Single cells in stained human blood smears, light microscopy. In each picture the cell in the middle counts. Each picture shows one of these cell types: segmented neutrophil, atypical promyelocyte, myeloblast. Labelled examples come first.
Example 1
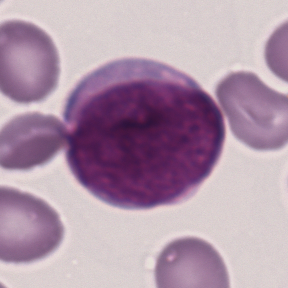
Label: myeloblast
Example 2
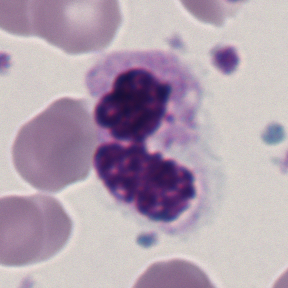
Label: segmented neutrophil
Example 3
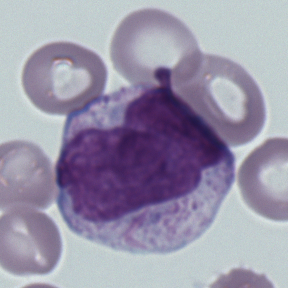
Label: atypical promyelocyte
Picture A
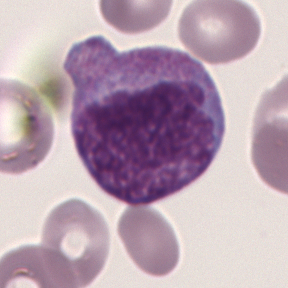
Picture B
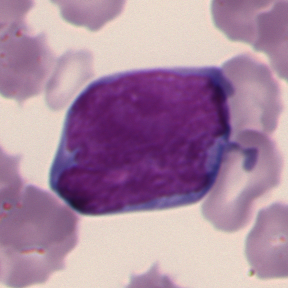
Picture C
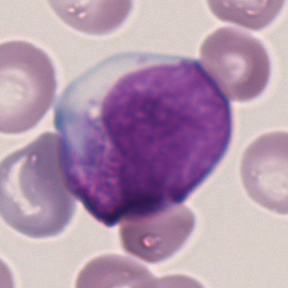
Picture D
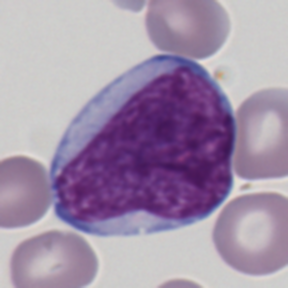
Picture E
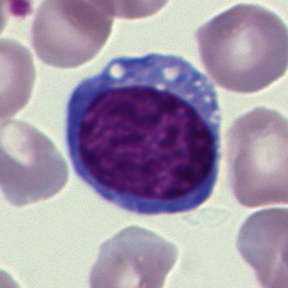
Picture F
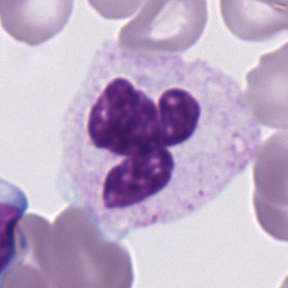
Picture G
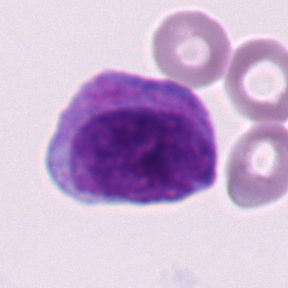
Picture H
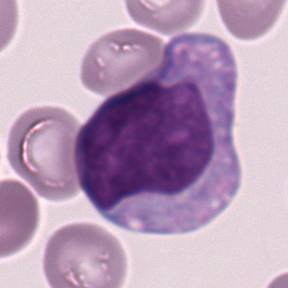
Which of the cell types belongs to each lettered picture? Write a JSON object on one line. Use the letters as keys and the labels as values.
{"A": "atypical promyelocyte", "B": "myeloblast", "C": "atypical promyelocyte", "D": "myeloblast", "E": "myeloblast", "F": "segmented neutrophil", "G": "atypical promyelocyte", "H": "atypical promyelocyte"}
